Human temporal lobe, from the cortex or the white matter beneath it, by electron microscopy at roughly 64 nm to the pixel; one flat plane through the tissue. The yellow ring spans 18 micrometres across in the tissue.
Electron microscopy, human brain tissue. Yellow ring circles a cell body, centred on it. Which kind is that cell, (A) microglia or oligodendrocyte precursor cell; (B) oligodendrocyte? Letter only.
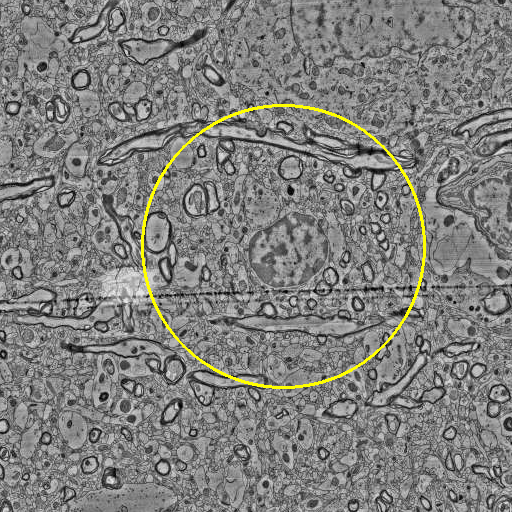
A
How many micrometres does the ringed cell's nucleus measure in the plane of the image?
In this plane the nucleus is about 5 micrometres across.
